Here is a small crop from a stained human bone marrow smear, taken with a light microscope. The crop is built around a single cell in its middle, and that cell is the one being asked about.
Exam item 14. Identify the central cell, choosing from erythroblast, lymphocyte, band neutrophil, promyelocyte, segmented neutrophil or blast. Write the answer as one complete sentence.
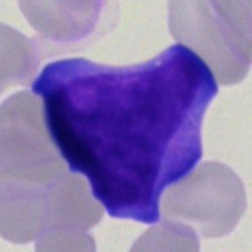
The cell at the middle of the frame should be recorded as a blast.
